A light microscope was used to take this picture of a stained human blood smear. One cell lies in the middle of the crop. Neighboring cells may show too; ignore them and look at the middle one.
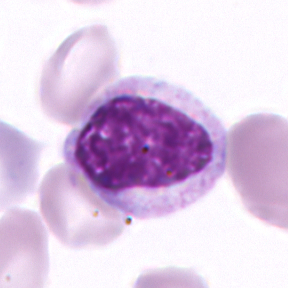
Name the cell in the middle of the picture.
metamyelocyte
